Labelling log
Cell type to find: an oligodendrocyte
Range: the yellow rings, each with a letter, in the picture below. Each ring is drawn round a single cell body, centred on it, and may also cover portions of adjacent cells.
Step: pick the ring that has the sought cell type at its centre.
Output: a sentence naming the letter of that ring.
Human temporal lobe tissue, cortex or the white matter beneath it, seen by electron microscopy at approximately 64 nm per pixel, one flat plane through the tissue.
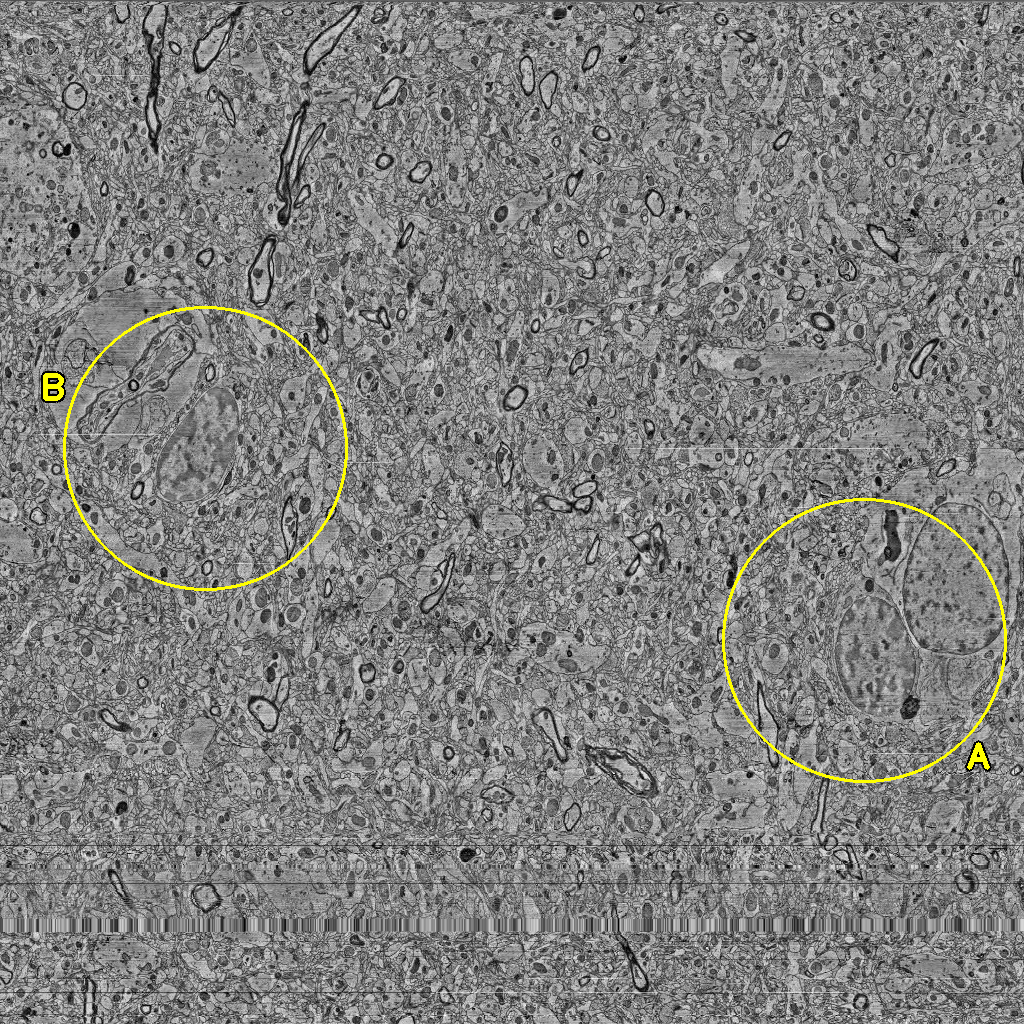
Ring A is the one with the cell asked for at its centre.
